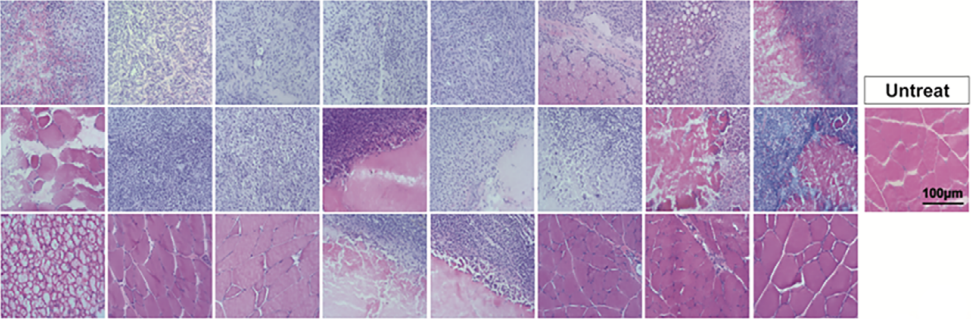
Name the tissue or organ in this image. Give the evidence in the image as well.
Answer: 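Many tiles, especially in the lowest row and the separate tile at right, show pink polygonal fibre profiles packed side by side. The fibres are separated by thin pale spaces with few small dark nuclei at their edges. So: muscle tissue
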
